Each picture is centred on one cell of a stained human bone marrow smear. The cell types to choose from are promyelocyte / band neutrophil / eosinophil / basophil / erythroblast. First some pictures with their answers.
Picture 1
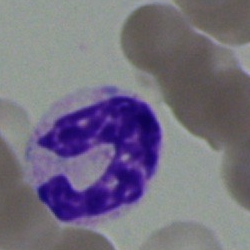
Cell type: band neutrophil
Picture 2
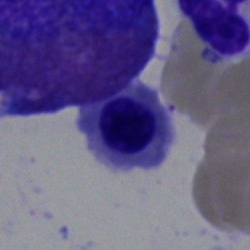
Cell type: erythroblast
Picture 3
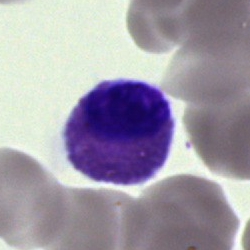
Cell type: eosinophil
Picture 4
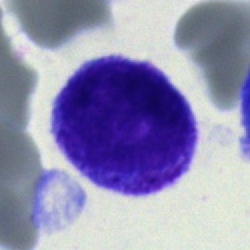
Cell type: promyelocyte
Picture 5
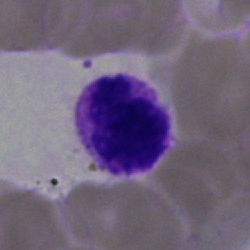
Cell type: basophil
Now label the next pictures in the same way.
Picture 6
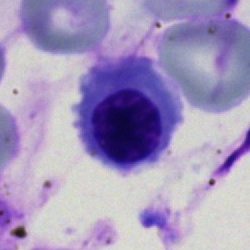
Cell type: erythroblast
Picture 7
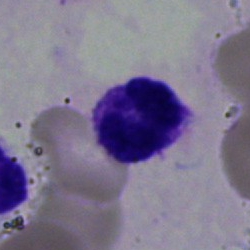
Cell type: basophil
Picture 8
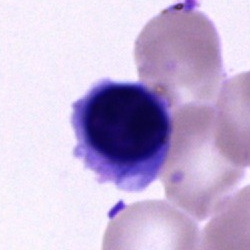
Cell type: erythroblast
